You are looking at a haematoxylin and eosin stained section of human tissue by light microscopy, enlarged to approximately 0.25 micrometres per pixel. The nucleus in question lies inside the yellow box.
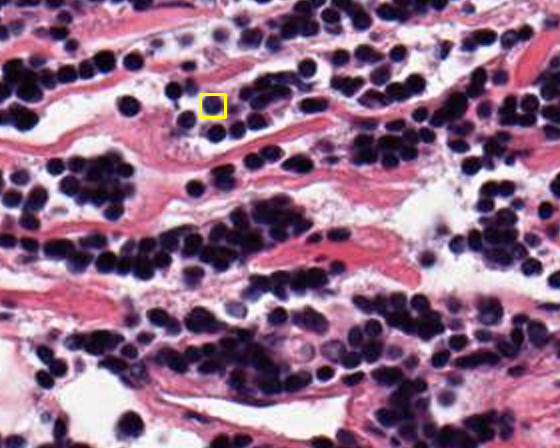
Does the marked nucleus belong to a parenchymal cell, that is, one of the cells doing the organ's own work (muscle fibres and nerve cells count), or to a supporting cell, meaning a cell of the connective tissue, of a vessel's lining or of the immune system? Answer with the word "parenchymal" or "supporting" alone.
supporting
